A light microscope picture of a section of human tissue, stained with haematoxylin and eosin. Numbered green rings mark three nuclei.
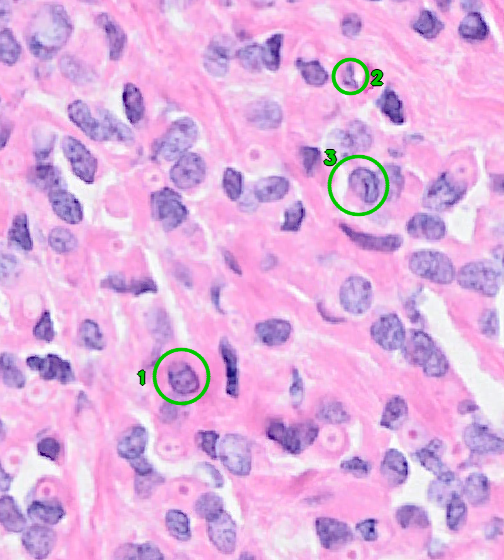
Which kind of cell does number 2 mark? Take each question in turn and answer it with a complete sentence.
The cell marked with number 2 is an endothelial cell.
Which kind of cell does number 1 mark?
The mark numbered 1 indicates the nucleus of a carcinoma cell.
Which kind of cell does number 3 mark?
The cell carrying label 3 is identified as a carcinoma cell.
